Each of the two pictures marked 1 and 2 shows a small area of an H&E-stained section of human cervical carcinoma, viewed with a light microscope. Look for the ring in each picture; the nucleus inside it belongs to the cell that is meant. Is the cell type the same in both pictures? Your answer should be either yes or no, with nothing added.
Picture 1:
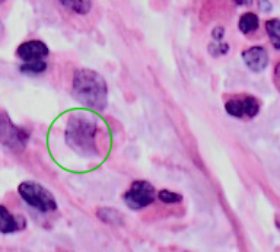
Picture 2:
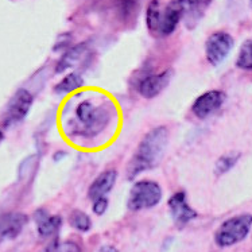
yes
